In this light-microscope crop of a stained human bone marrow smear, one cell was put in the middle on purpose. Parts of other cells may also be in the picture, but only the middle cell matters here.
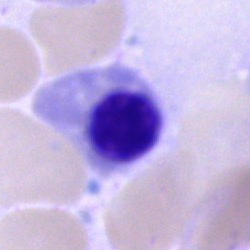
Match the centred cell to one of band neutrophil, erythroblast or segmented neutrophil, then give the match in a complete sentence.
The cell of interest, located centrally, is an erythroblast.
